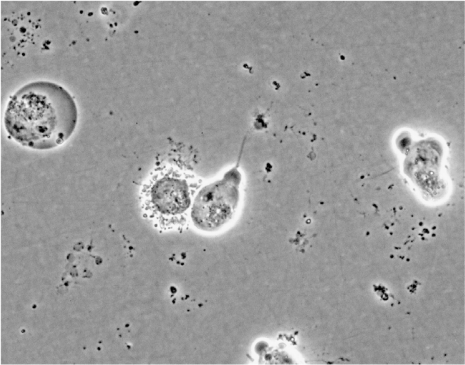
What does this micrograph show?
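The cells are rounded, and some have irregular, bulging outlines rather than smooth margins. Their cytoplasm appears coarsely granular. One large round cell sits inside a bright halo, and another bears a thin process. Small fragments and granular debris are scattered across the surrounding background.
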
